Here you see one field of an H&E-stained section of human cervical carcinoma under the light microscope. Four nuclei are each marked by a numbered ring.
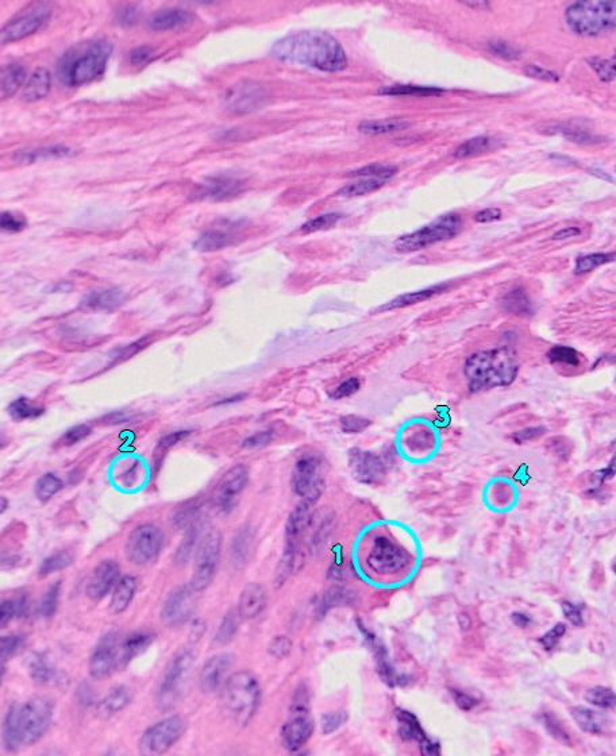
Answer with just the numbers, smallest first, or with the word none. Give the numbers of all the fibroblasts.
2, 3, 4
